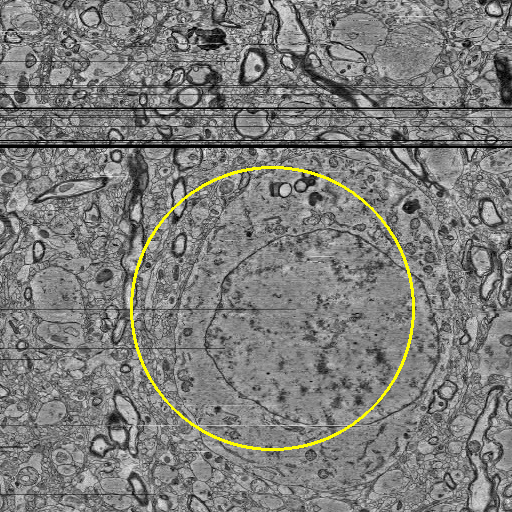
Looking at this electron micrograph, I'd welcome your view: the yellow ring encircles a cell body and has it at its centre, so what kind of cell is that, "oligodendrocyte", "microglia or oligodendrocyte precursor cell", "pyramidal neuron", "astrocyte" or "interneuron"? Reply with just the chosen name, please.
pyramidal neuron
